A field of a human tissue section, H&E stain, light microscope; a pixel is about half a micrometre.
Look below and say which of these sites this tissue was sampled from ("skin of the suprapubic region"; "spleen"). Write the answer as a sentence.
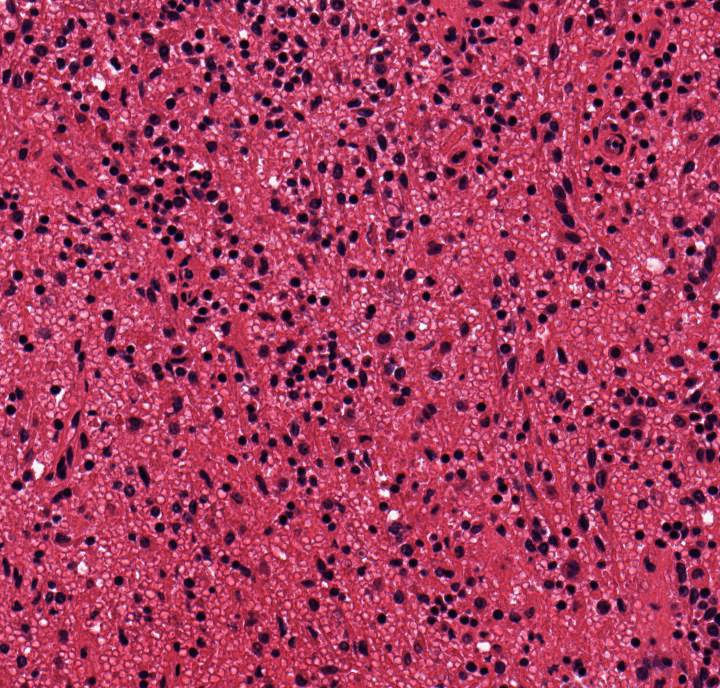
The site this tissue was sampled from is the spleen.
